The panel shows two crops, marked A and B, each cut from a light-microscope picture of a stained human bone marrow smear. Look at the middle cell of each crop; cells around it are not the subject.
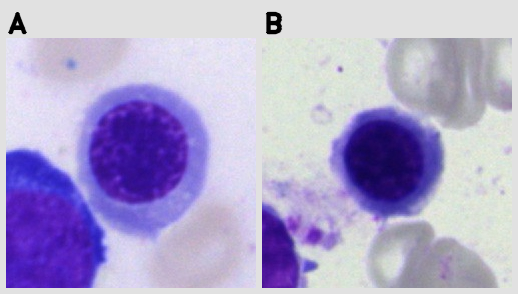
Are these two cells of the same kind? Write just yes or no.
yes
